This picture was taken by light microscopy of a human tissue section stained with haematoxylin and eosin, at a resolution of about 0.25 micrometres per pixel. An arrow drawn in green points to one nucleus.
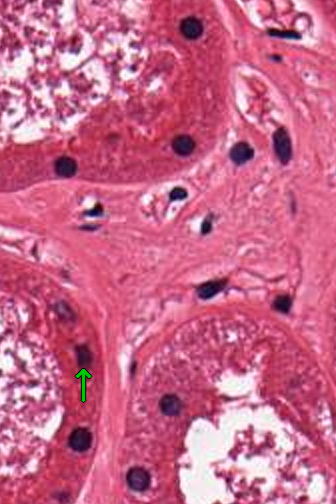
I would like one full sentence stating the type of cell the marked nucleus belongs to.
The cell to which the marked nucleus belongs is a proximal tubule cell.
